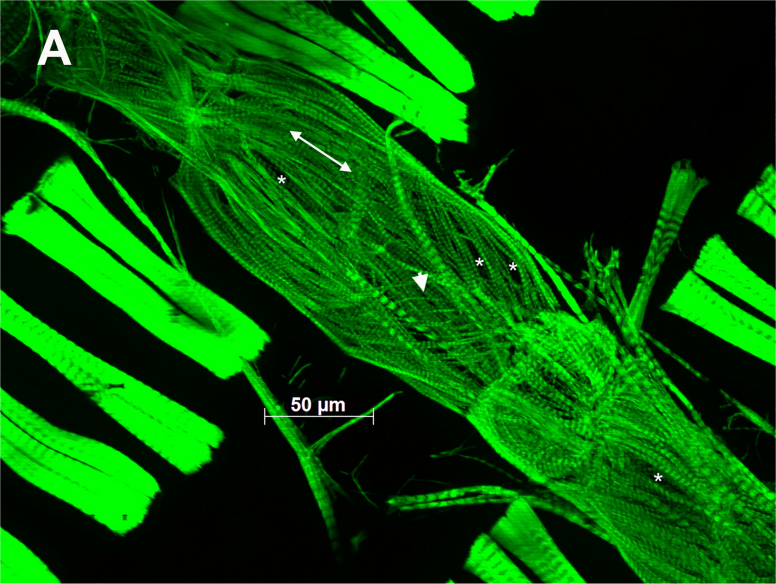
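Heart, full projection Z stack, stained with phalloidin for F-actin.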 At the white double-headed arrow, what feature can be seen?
longitudinally oriented myofibrils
